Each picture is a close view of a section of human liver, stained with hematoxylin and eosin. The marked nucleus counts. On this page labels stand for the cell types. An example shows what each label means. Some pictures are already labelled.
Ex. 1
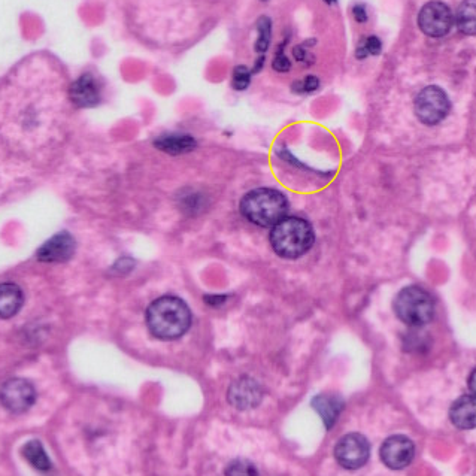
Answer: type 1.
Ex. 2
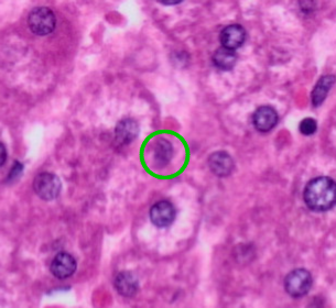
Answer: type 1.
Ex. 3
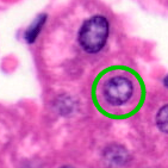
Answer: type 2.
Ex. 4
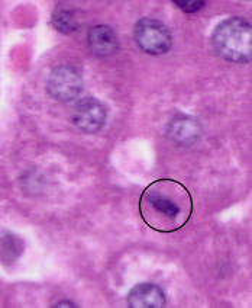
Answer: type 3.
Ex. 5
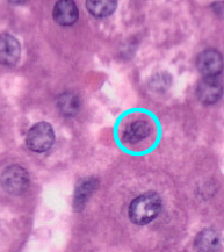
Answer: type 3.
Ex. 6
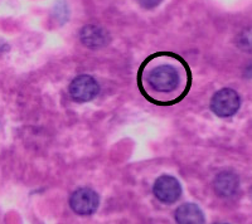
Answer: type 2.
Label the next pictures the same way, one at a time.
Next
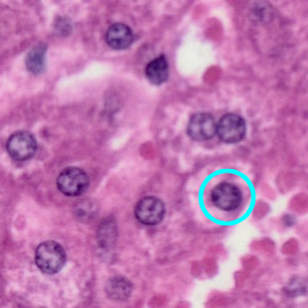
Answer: type 2.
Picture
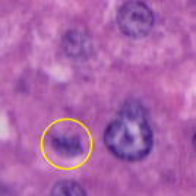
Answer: type 1.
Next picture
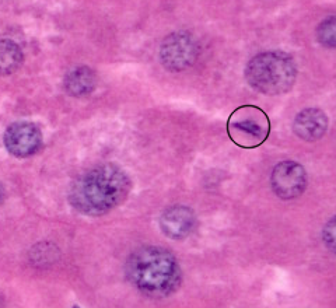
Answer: type 3.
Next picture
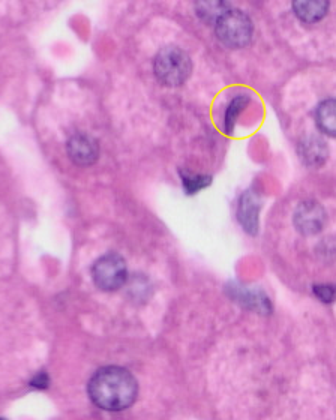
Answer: type 1.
